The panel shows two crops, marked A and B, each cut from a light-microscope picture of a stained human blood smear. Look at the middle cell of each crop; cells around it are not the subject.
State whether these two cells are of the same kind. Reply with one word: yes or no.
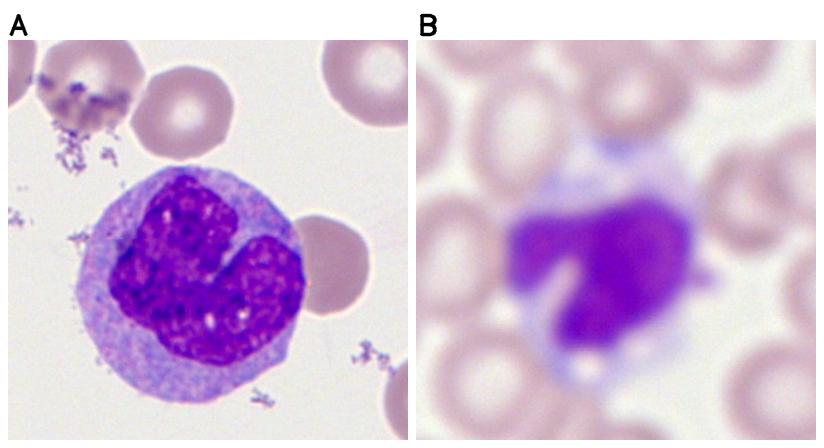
yes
